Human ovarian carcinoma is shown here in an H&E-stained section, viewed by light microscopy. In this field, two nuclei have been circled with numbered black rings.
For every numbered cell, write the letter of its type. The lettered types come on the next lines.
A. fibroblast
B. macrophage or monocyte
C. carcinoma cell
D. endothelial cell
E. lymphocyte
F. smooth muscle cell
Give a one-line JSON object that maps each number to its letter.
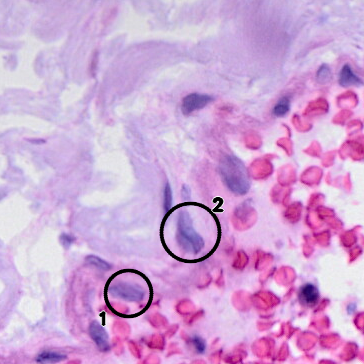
{"1": "D", "2": "A"}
